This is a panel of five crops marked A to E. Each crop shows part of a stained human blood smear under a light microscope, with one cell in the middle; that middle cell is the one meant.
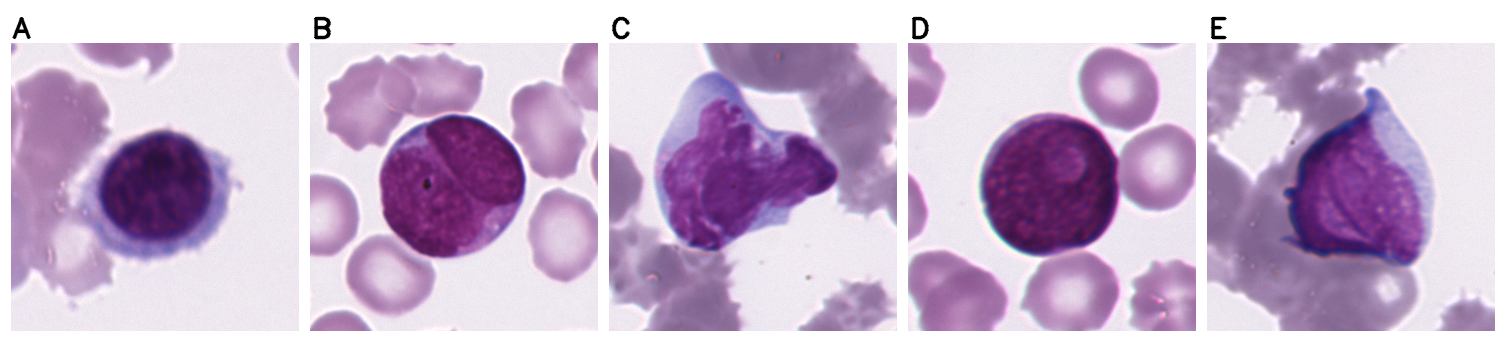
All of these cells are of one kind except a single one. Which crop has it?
A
